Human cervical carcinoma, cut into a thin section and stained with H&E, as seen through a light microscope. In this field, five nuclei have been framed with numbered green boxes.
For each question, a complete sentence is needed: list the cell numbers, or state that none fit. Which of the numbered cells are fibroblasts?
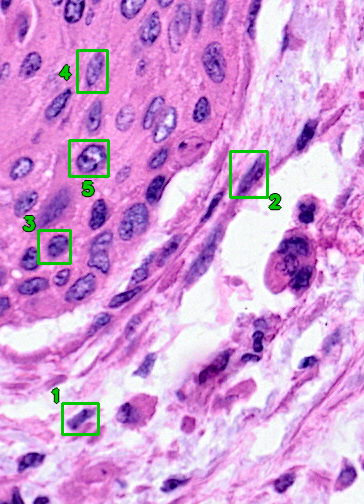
The cells numbered 1 and 2 are identified as fibroblasts.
